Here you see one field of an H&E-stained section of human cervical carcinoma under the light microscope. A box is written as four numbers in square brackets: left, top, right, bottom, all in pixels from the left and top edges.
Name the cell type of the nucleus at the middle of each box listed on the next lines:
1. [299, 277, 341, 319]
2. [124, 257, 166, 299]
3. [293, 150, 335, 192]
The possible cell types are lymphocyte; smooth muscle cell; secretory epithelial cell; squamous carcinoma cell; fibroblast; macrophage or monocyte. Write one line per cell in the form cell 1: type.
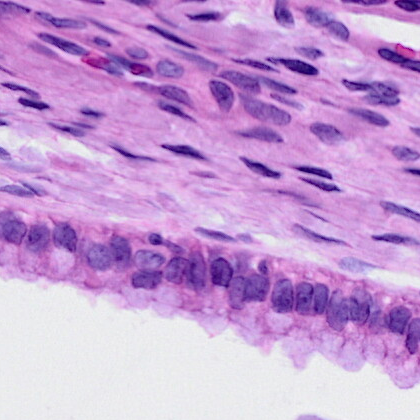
cell 1: secretory epithelial cell
cell 2: secretory epithelial cell
cell 3: fibroblast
